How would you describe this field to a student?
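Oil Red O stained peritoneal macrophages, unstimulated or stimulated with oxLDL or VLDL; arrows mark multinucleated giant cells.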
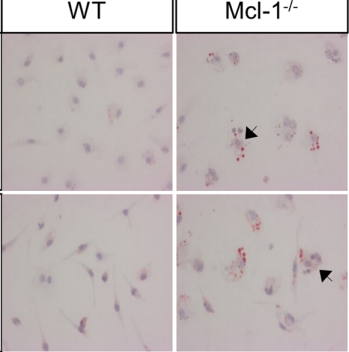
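Many cells are small, rounded or spindle-shaped with a single nucleus and faint cytoplasm, some stretching thin processes. Red lipid is more abundant in some fields than others, and in places the cells take on a pinkish, lipid-laden look.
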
